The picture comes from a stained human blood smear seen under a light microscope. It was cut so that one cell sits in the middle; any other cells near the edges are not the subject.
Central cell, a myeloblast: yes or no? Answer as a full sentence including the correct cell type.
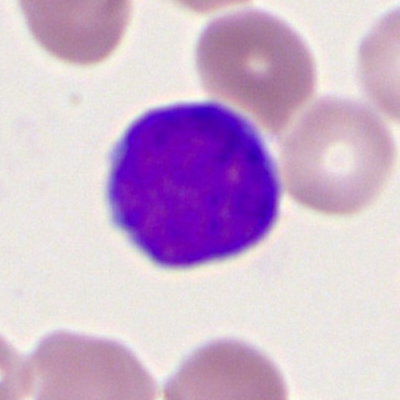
Yes, the centred cell is categorised as a myeloblast.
